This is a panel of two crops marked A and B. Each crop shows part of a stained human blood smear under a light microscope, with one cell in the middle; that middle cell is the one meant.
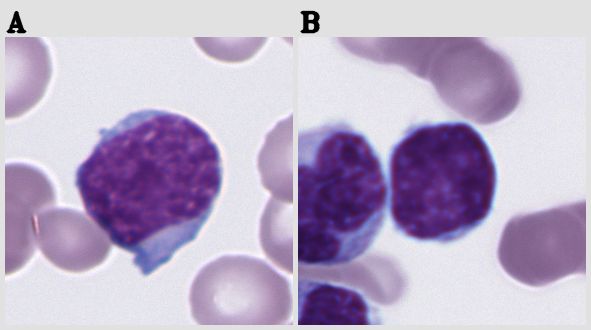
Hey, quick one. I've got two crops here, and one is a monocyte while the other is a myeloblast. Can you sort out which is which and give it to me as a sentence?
The cell centred in crop A is a myeloblast, while the one centred in crop B is a monocyte.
